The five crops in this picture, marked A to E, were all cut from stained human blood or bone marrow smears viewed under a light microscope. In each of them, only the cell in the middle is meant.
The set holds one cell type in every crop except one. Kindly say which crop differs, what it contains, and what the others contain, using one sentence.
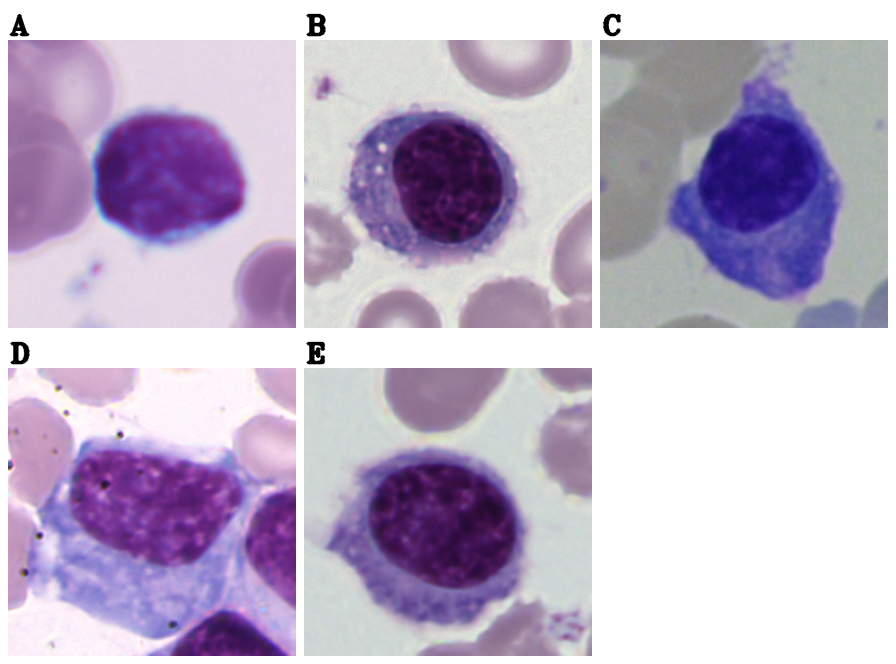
The exception in this group is crop A, a lymphocyte, and the others are all plasma cells.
